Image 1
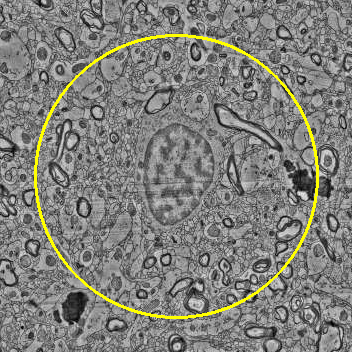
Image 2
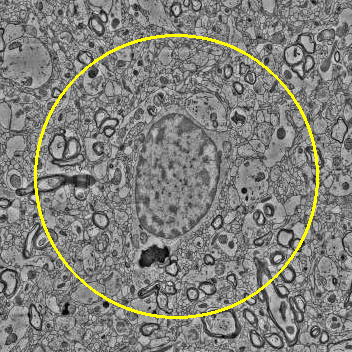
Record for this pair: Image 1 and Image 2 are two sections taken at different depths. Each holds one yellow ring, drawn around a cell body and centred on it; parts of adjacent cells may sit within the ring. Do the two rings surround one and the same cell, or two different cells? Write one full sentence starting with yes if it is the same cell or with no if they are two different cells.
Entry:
Yes, the marked cell is the same in both rings.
